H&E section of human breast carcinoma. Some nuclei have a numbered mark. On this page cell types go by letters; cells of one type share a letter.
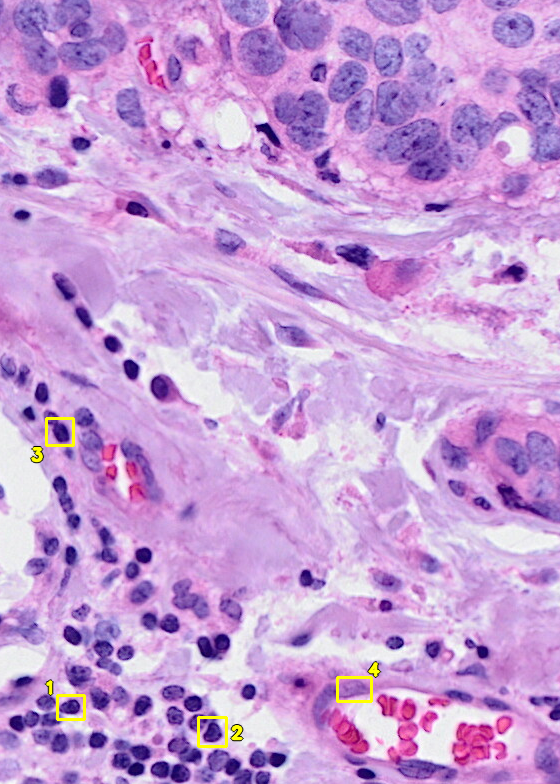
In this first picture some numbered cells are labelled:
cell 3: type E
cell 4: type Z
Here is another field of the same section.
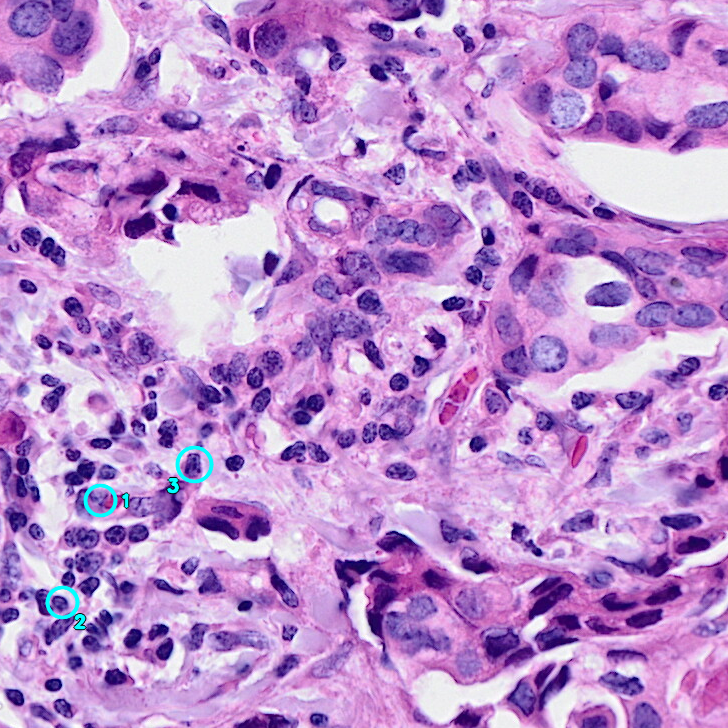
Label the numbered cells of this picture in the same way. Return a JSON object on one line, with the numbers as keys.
{"1": "type Z", "2": "type E", "3": "type E"}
